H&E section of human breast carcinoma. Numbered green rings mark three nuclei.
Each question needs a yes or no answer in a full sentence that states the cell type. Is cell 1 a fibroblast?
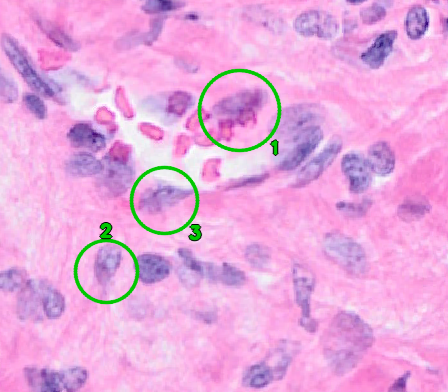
No, number 1 is not a fibroblast but an endothelial cell.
